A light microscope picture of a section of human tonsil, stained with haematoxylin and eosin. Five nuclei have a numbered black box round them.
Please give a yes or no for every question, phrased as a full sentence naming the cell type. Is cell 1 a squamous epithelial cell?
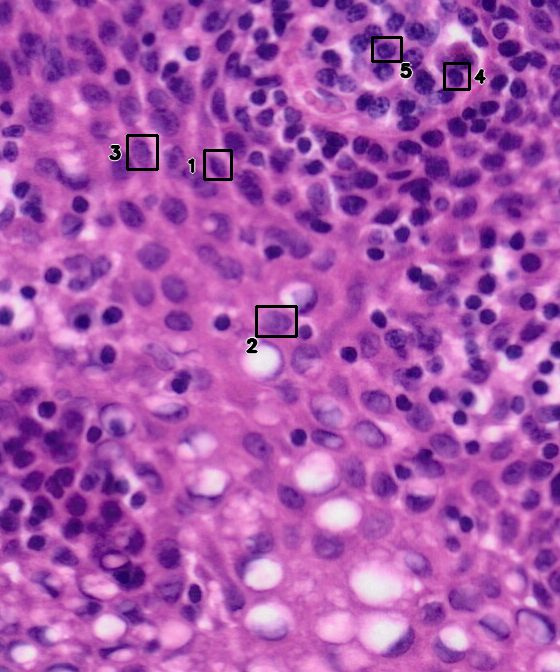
Yes, regarding number 1, the cell is a squamous epithelial cell.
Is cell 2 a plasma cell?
No, the cell tagged 2 is a squamous epithelial cell, and not a plasma cell.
